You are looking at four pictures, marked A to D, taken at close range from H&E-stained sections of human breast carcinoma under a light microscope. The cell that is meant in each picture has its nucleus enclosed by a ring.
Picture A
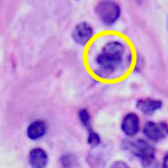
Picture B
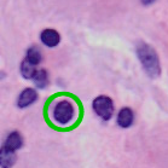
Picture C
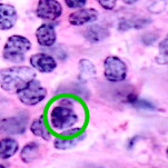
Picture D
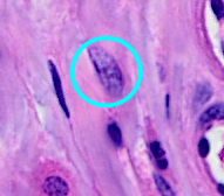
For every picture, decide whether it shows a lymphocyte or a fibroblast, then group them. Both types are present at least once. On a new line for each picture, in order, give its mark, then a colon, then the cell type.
A: lymphocyte
B: lymphocyte
C: lymphocyte
D: fibroblast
